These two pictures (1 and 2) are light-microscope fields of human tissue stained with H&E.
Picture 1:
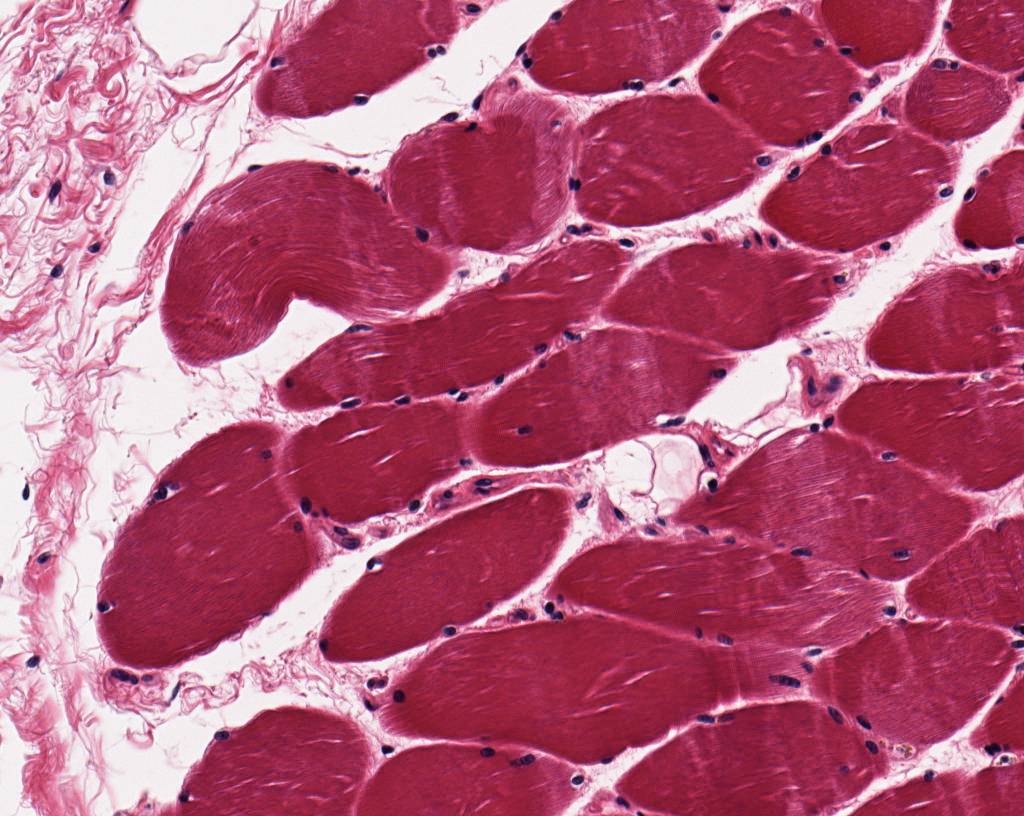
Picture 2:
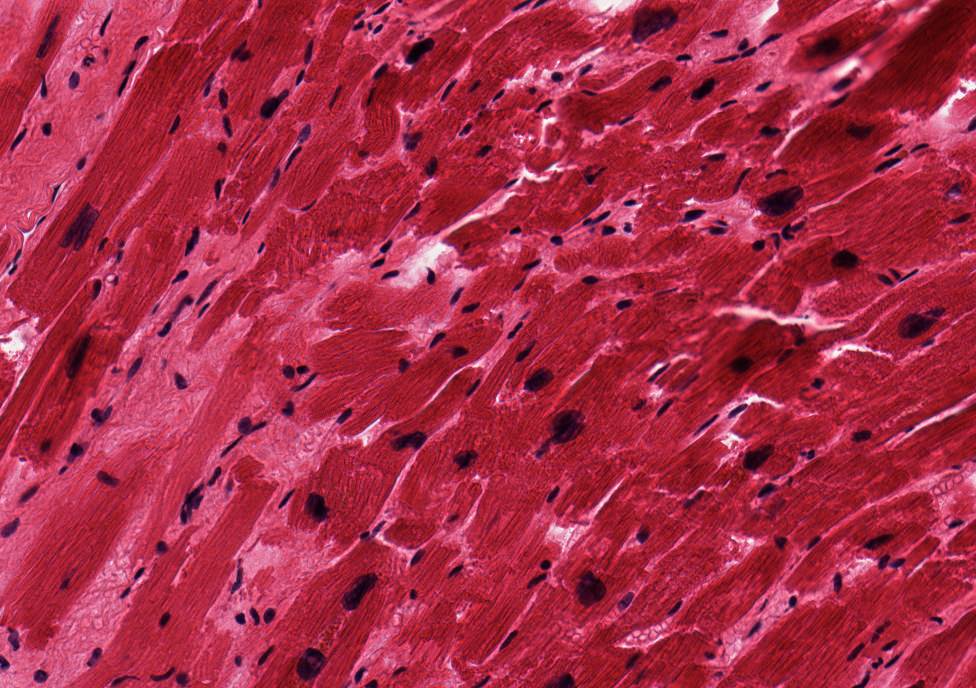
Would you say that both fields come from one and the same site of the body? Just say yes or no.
no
